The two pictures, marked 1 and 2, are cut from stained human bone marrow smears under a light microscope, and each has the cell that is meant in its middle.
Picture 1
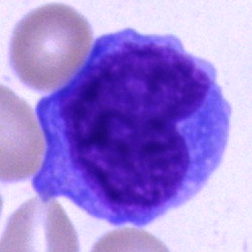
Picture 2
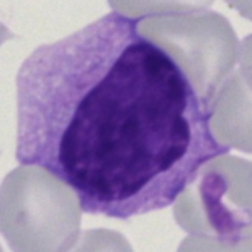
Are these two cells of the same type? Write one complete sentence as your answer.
No, picture 1 shows a blast and picture 2 shows a monocyte.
